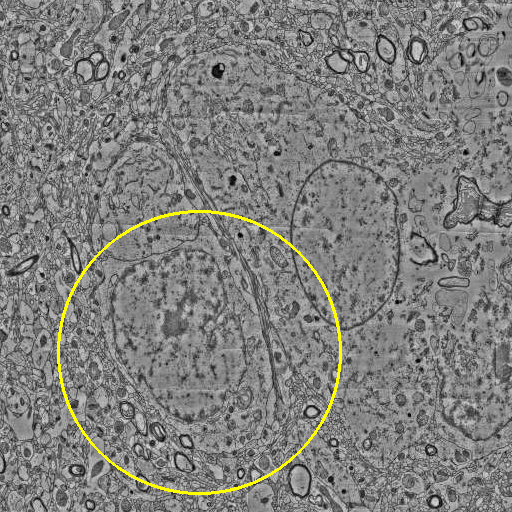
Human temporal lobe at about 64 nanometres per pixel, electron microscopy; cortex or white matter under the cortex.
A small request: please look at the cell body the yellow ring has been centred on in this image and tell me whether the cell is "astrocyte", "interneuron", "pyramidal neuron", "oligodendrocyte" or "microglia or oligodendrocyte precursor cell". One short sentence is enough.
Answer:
The cell marked by the ring is an interneuron.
